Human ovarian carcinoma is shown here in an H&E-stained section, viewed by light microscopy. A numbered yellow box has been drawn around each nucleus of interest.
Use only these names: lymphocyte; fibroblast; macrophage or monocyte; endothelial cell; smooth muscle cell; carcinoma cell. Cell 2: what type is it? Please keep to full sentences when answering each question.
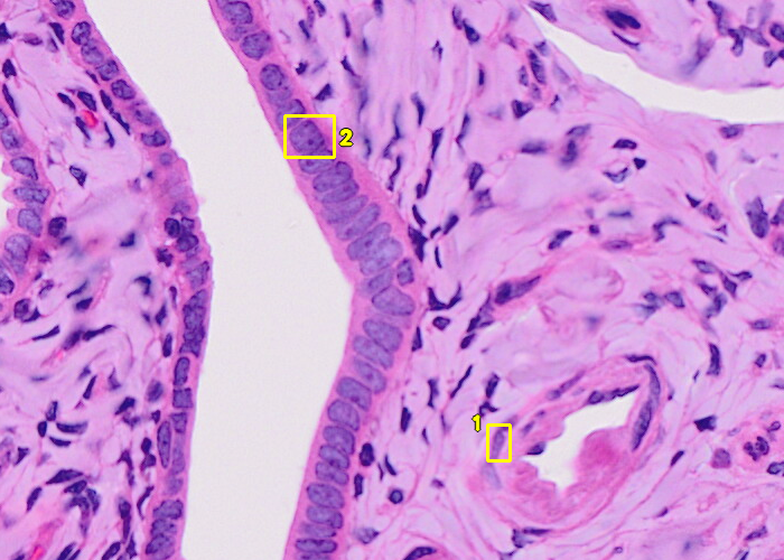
Among the marked nuclei, number 2 belongs to a carcinoma cell.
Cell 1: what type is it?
Cell 1 should be recorded as a smooth muscle cell.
